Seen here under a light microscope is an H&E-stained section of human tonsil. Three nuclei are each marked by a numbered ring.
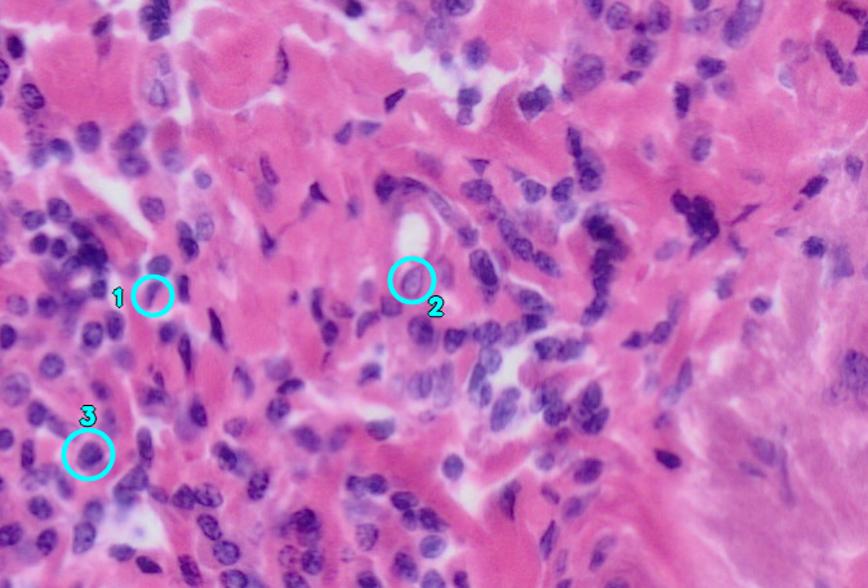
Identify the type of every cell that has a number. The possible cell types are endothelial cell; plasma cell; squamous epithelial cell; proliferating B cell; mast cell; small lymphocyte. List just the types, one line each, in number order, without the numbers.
mast cell
endothelial cell
mast cell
